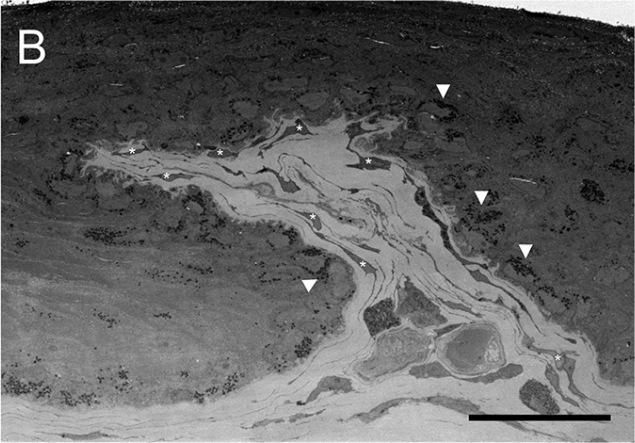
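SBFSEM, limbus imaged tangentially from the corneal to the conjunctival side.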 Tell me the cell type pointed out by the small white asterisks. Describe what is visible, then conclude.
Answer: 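Limbal stromal cell. The asterisks lie on thin, elongated dark profiles inside the pale matrix. The pale matrix extends as a strand into the dark epithelium.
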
